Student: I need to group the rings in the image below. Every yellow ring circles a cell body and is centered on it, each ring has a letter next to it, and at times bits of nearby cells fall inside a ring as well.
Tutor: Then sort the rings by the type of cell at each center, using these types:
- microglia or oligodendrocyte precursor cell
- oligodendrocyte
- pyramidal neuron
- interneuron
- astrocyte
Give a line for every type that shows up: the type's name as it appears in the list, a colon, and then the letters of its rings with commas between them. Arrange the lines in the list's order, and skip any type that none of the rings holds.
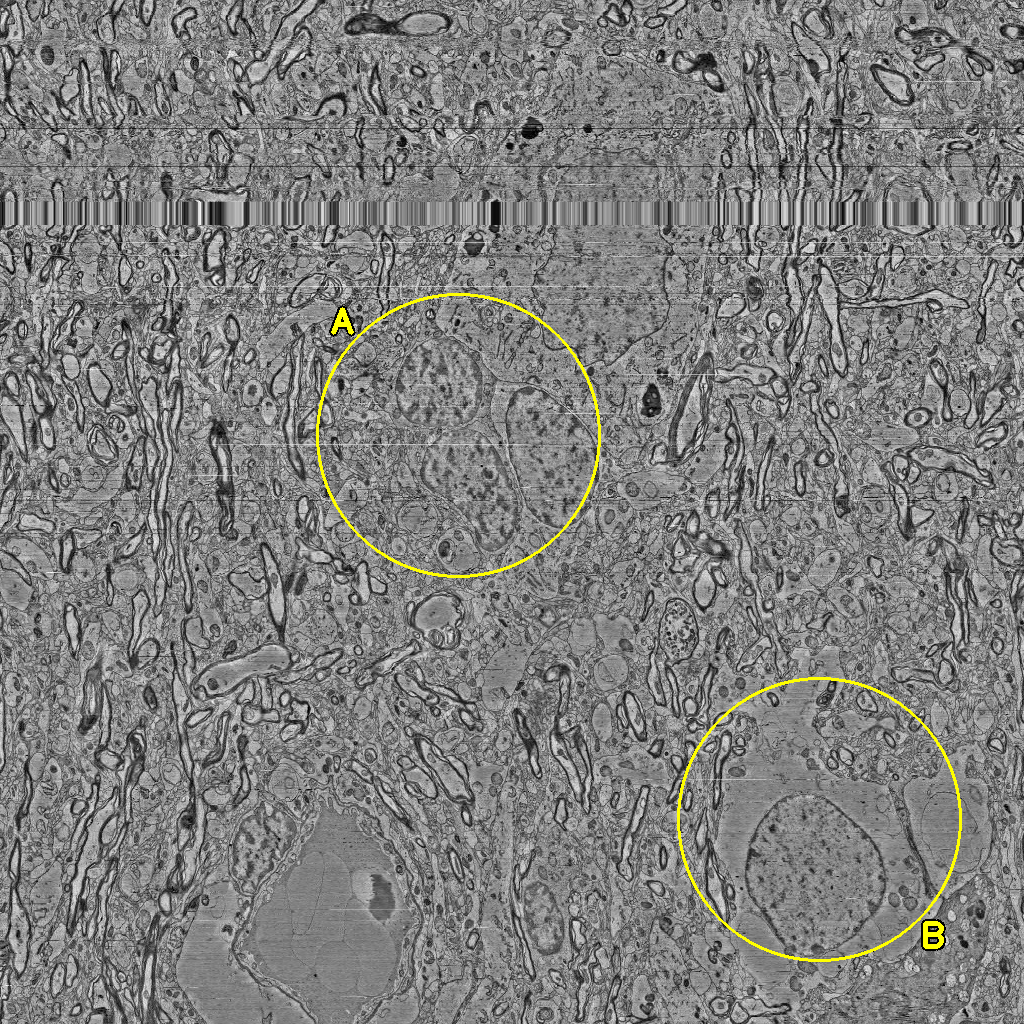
oligodendrocyte: A
astrocyte: B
